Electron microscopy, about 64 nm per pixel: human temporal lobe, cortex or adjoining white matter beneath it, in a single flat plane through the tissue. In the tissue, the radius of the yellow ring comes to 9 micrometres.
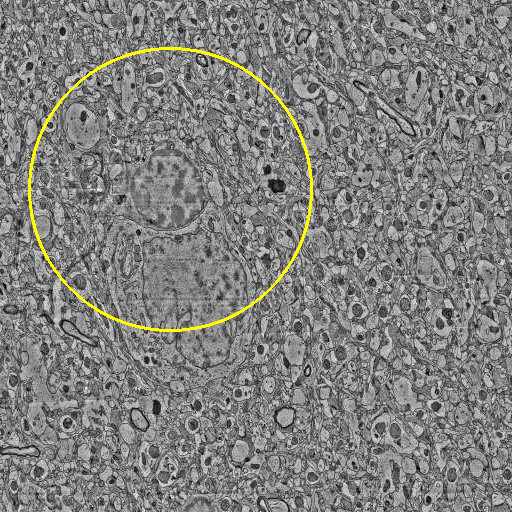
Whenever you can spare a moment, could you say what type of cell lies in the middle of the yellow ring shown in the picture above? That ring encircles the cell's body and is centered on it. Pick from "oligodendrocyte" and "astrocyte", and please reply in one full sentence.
The cell whose body sits at the middle of the yellow ring is an oligodendrocyte.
